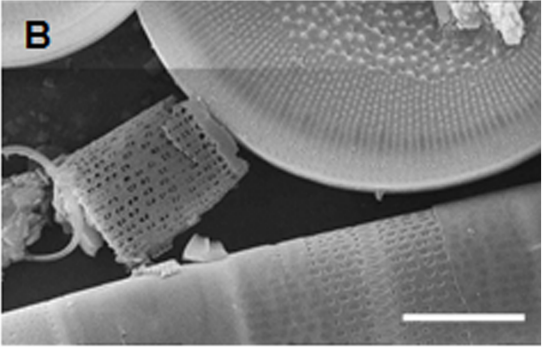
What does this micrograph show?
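Close view of parts of diatom frustules: the upper right is the edge of a large round valve covered with regular radiating rows of fine pores, and below runs a long cylindrical shell whose wall bears bands of small pores. Between them lies a small broken piece of silica wall perforated by a grid of square openings.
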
